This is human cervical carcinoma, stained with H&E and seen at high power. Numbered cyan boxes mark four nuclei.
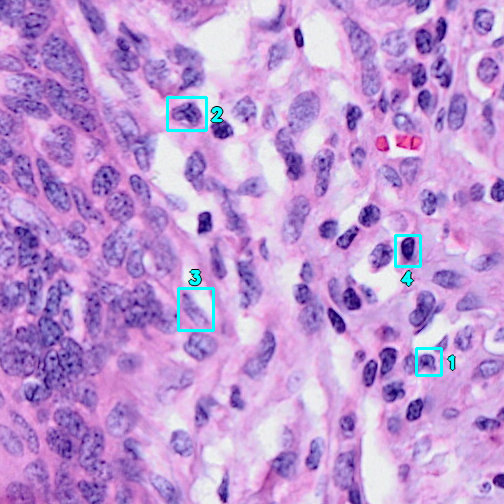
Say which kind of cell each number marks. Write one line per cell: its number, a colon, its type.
1: lymphocyte
2: lymphocyte
3: endothelial cell
4: lymphocyte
